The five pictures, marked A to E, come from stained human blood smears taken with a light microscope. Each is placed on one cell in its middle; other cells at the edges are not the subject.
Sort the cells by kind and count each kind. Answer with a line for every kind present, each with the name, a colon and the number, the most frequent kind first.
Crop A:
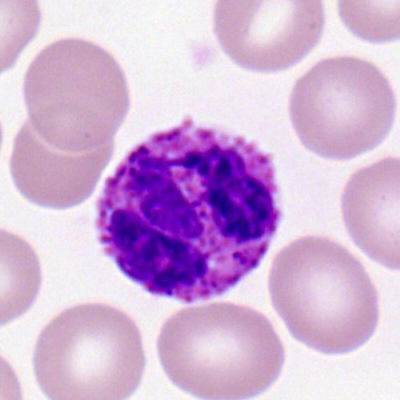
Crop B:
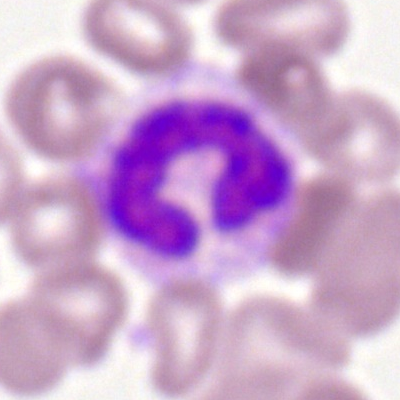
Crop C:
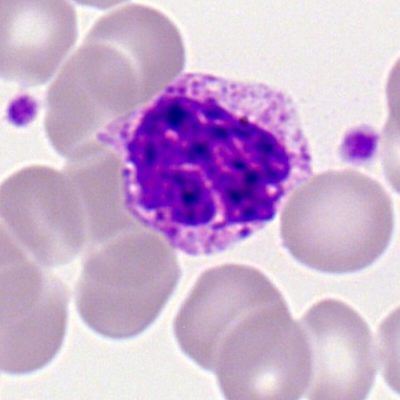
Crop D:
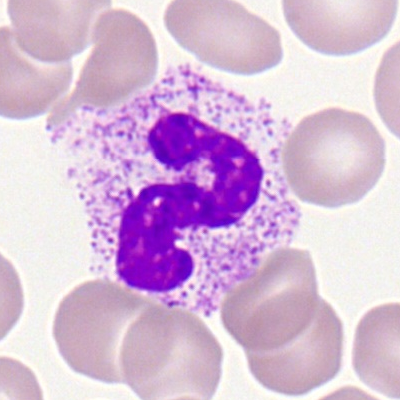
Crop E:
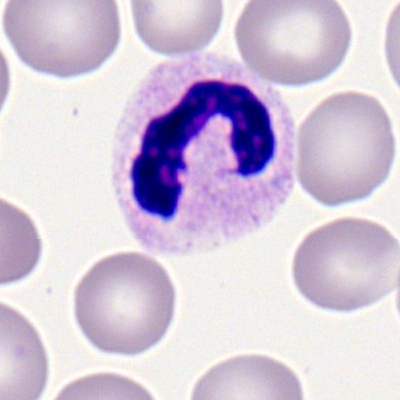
band neutrophil: 3
basophil: 2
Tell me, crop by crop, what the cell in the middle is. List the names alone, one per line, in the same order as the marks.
basophil
band neutrophil
basophil
band neutrophil
band neutrophil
